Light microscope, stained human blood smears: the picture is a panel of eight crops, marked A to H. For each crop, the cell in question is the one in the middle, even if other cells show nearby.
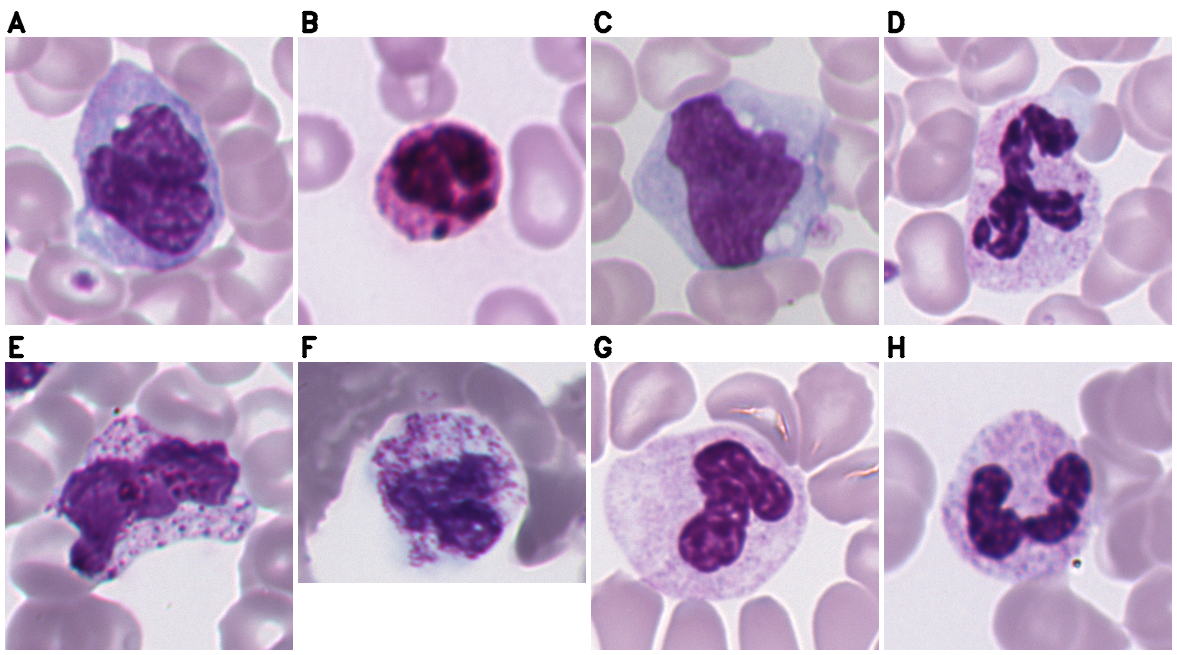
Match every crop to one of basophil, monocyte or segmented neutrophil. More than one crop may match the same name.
A: monocyte
B: basophil
C: monocyte
D: segmented neutrophil
E: basophil
F: segmented neutrophil
G: segmented neutrophil
H: segmented neutrophil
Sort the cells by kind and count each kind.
segmented neutrophil: 4
monocyte: 2
basophil: 2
